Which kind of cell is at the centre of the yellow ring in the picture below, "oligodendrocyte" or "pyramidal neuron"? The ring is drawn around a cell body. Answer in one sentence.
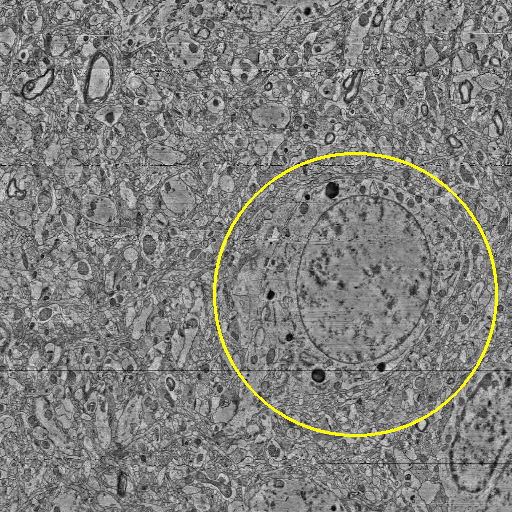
The ring's central cell is a pyramidal neuron.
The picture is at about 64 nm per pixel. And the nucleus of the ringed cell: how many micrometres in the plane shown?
The nucleus works out at approximately 11 by 9 micrometres in this plane.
